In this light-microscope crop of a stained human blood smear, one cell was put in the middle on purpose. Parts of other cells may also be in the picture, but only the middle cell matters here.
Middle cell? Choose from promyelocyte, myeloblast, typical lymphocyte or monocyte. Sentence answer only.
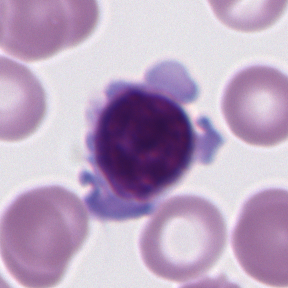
The crop centres on a single cell, and that cell is a typical lymphocyte.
